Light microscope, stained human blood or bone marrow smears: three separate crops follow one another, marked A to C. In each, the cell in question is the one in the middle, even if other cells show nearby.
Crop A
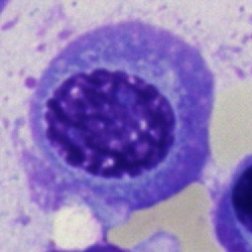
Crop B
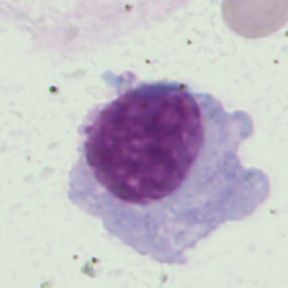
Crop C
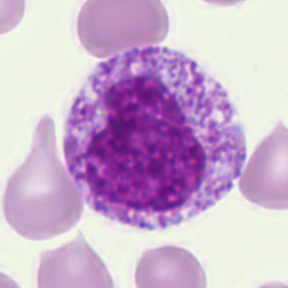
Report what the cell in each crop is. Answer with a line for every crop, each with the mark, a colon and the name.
A: plasma cell
B: plasma cell
C: myelocyte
